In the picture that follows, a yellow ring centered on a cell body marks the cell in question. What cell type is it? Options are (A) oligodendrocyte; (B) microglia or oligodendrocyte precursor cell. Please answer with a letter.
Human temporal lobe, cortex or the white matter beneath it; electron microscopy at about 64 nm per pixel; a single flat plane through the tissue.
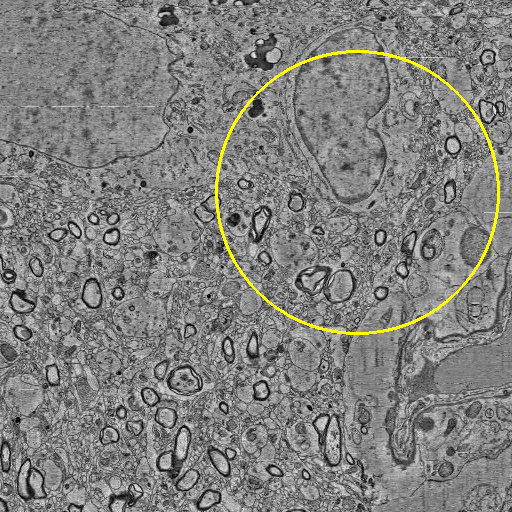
B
